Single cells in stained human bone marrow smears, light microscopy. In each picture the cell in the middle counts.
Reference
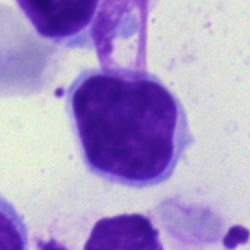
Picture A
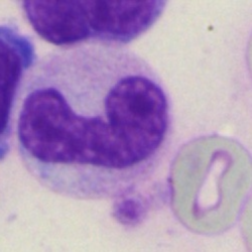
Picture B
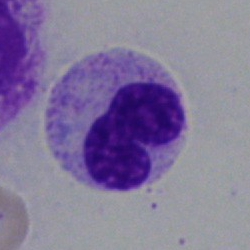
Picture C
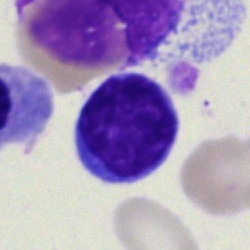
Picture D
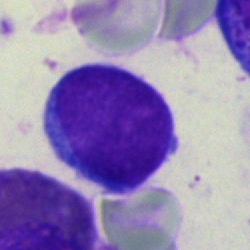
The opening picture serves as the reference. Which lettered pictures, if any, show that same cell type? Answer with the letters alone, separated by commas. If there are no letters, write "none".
C, D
